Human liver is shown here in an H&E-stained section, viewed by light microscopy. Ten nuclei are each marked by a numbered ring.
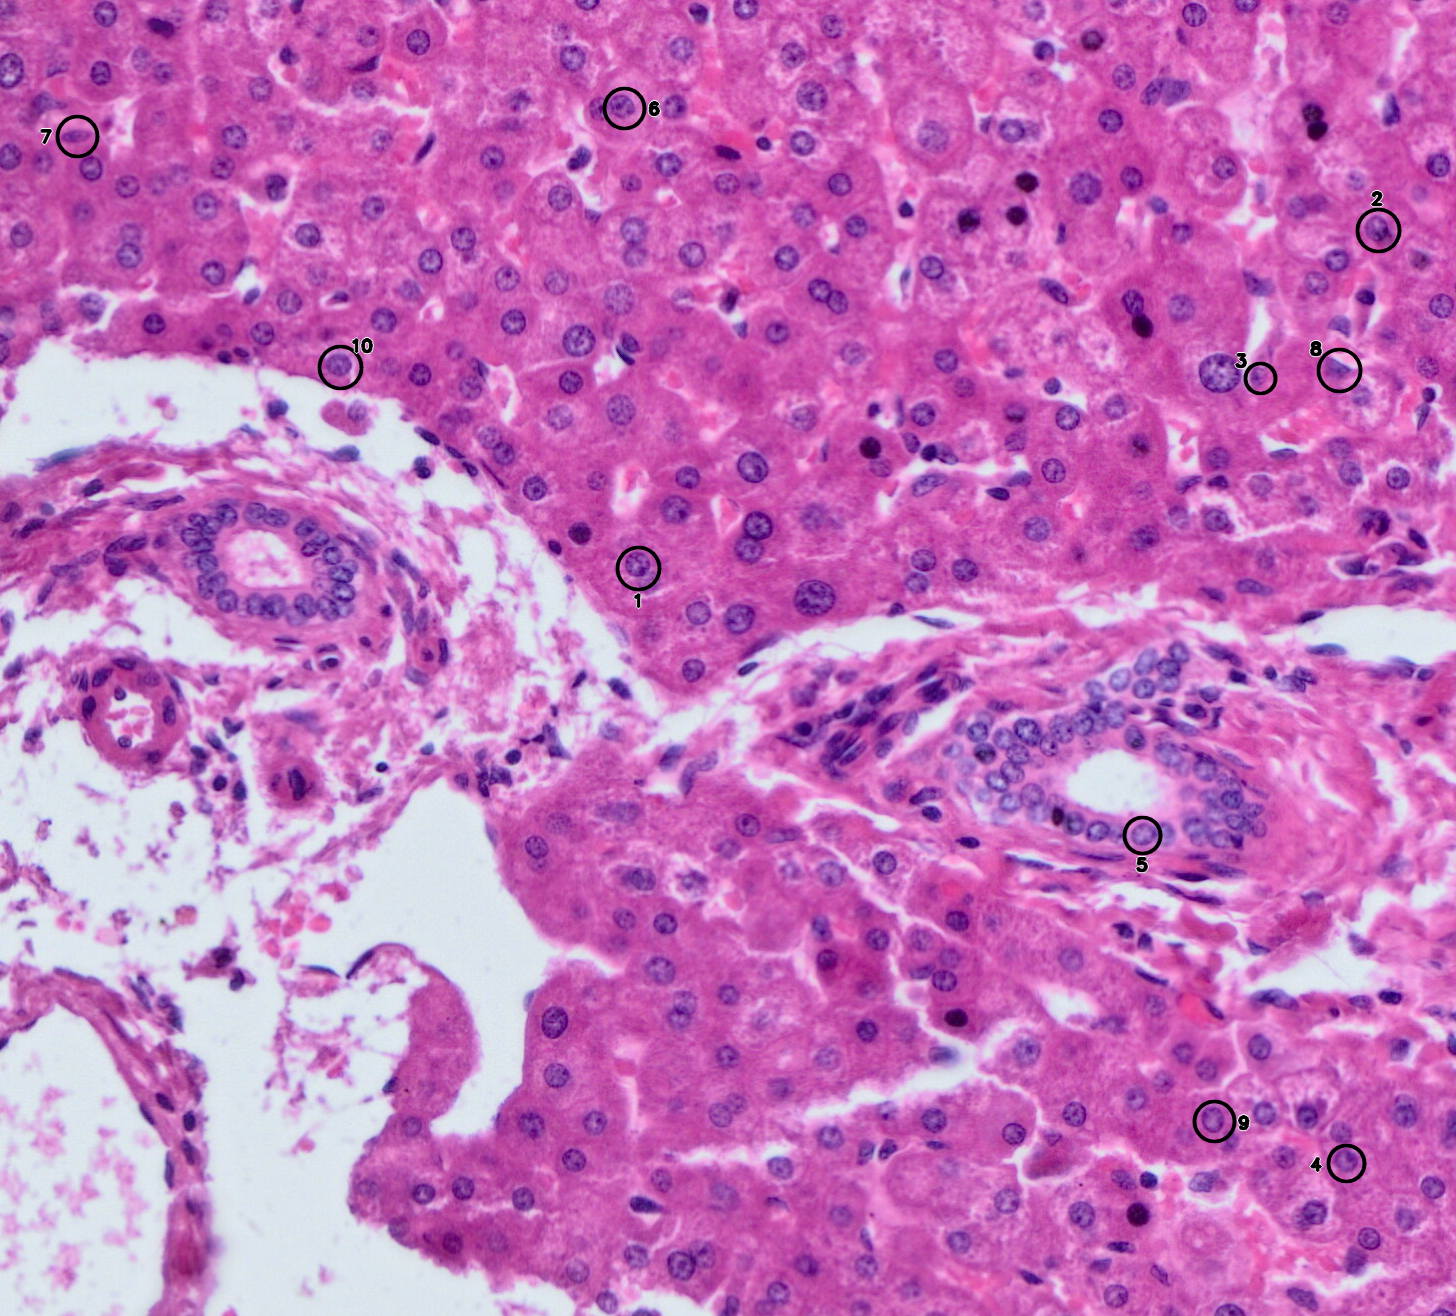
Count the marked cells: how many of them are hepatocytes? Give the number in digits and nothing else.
6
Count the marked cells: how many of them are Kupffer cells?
1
